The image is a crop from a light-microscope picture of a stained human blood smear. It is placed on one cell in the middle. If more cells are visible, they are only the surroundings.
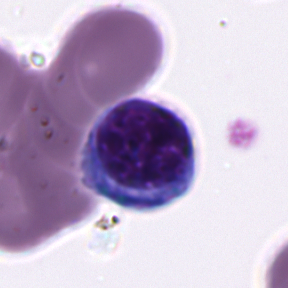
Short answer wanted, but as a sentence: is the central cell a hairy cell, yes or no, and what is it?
No, the cell at the centre is identified as a plasma cell, not as a hairy cell.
